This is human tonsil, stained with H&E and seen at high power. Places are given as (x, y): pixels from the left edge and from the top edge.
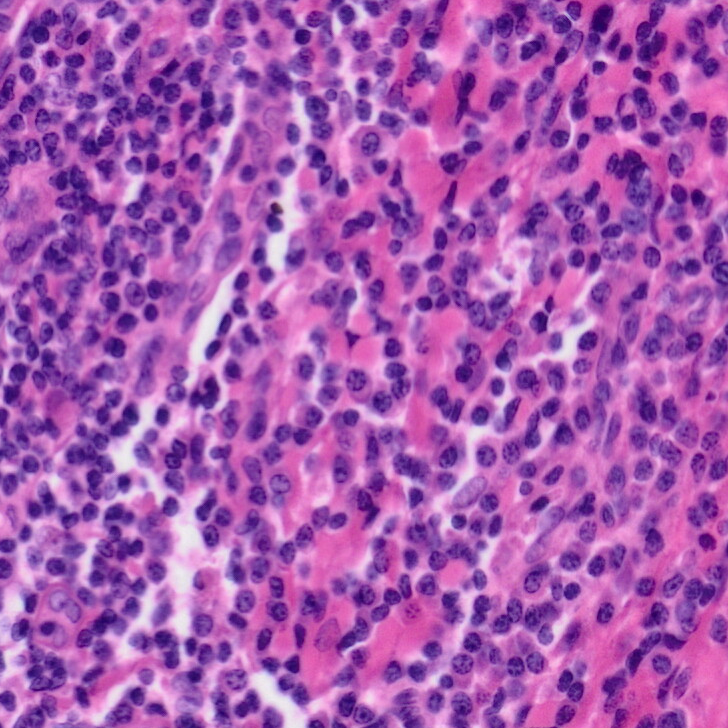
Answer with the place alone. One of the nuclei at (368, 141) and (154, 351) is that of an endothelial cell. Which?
(154, 351)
